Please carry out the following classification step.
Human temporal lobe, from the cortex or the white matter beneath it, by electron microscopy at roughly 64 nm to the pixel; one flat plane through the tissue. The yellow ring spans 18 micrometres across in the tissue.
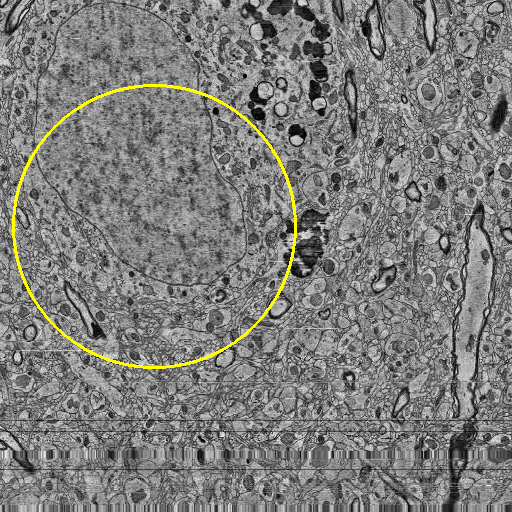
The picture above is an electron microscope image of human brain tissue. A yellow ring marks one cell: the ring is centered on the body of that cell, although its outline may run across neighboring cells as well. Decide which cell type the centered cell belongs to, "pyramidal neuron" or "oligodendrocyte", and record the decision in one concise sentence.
The cell centered in the yellow ring is a pyramidal neuron.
